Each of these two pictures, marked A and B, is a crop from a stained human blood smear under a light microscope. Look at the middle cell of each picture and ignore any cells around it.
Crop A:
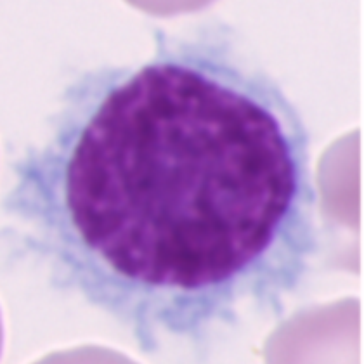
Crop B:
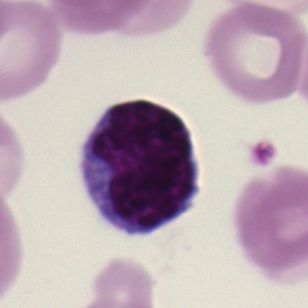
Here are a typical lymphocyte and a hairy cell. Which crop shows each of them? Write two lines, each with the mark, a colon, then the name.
A: hairy cell
B: typical lymphocyte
